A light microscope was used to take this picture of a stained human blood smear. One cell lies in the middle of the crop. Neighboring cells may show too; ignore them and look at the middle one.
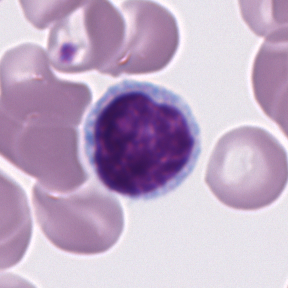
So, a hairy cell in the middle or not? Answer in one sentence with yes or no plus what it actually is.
No, what is centred in the crop is not a hairy cell but a typical lymphocyte.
